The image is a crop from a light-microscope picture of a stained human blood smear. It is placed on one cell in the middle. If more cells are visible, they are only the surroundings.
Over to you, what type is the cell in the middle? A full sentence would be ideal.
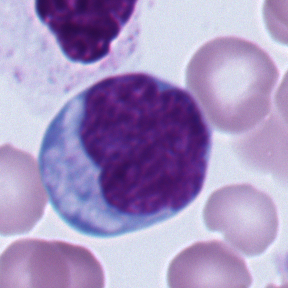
The cell at the central position in this crop is a monocyte.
